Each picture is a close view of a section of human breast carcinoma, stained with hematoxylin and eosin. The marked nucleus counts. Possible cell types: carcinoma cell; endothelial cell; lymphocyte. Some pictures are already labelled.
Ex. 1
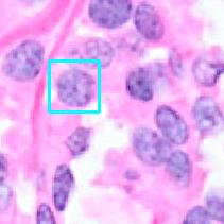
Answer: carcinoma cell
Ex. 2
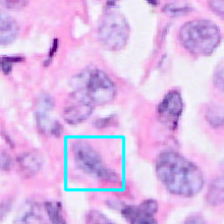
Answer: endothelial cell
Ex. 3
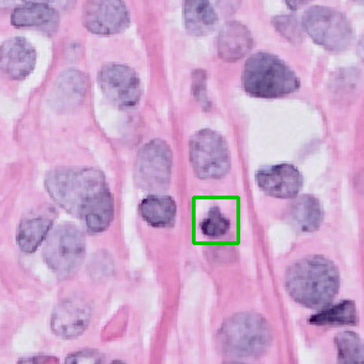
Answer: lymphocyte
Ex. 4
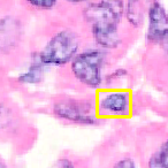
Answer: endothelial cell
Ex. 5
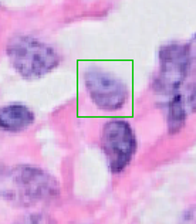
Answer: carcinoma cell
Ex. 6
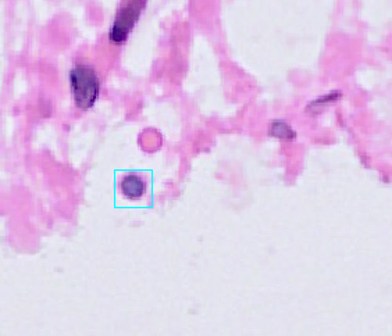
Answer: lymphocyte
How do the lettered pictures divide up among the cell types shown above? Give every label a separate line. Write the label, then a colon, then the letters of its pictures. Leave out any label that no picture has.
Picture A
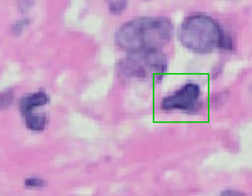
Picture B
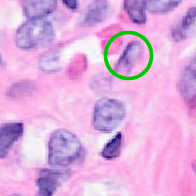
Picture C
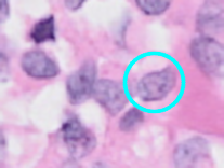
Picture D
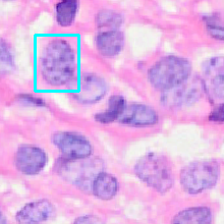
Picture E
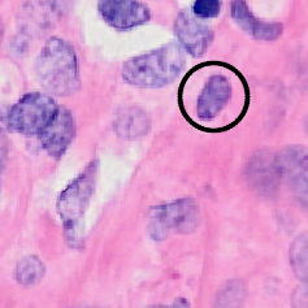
carcinoma cell: C, D
endothelial cell: B
lymphocyte: A, E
